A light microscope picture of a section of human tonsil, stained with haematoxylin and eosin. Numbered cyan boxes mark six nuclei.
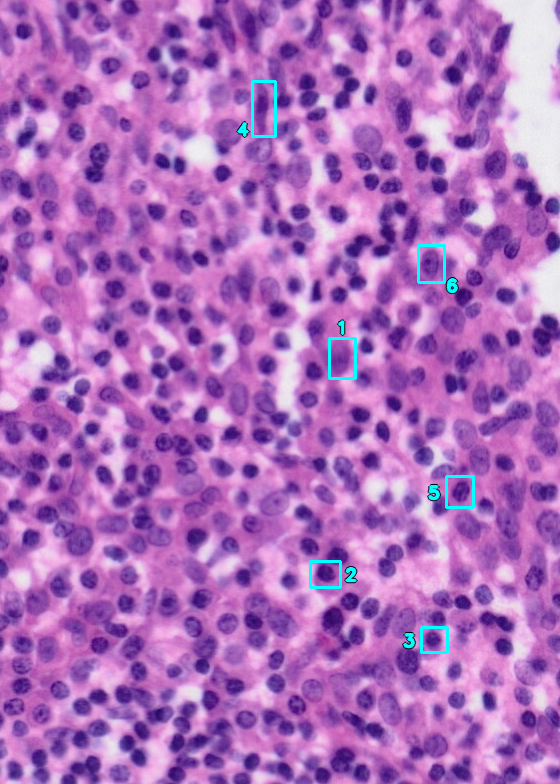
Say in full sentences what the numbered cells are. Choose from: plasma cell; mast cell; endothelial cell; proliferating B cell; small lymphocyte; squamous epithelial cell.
Cell 1 is a squamous epithelial cell, cell 2 is a plasma cell, cell 3 is a plasma cell, cell 4 is a squamous epithelial cell, cell 5 is a plasma cell and cell 6 is a squamous epithelial cell.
